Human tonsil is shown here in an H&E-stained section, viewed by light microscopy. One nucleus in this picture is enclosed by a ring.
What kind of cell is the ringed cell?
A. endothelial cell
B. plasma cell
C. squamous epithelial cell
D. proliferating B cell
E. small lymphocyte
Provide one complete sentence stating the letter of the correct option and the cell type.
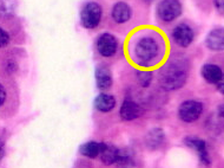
The item is answered by option B: the ringed cell is a plasma cell.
